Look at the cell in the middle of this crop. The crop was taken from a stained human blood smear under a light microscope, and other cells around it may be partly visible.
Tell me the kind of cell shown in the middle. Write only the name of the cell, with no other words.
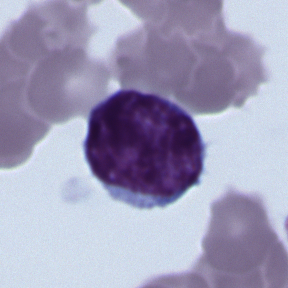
typical lymphocyte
